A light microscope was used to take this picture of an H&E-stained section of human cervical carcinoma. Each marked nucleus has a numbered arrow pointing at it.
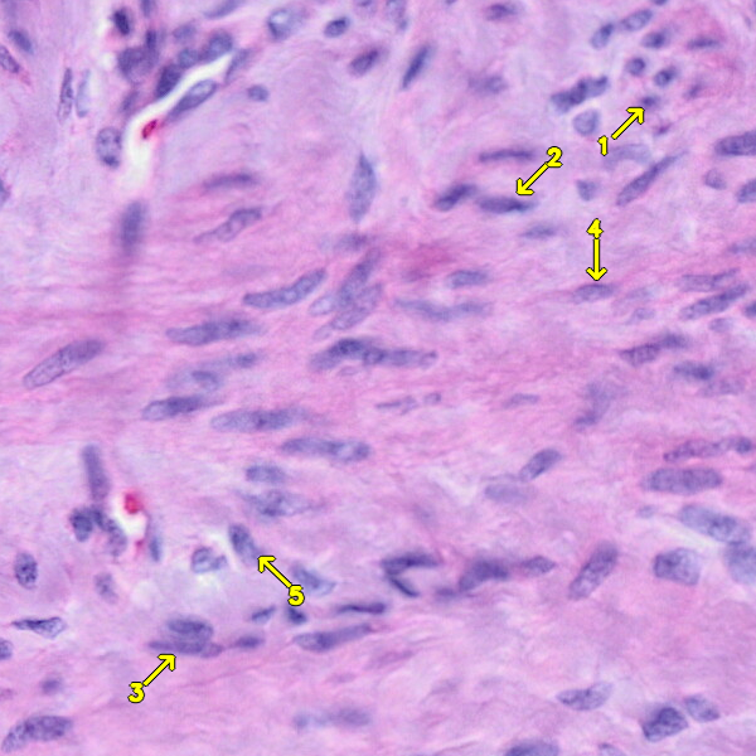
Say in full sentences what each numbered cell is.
Cell 1 is a smooth muscle cell, cell 2 is a fibroblast, cell 3 is a fibroblast, cell 4 is a smooth muscle cell and cell 5 is a fibroblast.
